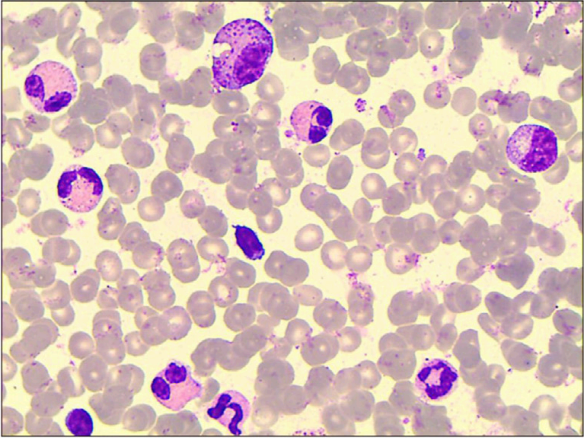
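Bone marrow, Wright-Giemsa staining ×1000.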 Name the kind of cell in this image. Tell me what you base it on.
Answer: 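Several nucleated cells have cytoplasm packed with coarse orange-pink granules. Some of these granular cells have two-lobed or band-shaped nuclei.
Conclusion: eosinophils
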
